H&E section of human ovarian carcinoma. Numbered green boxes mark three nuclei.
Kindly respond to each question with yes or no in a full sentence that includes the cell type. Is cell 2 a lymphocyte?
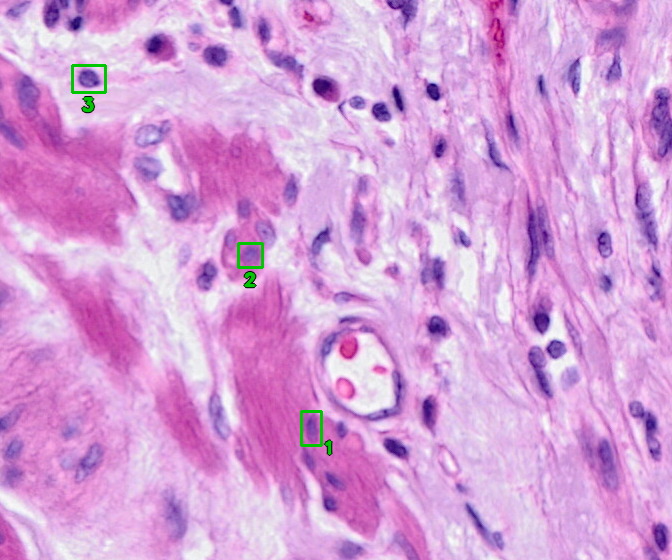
No, it is a smooth muscle cell that is marked with number 2, not a lymphocyte.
